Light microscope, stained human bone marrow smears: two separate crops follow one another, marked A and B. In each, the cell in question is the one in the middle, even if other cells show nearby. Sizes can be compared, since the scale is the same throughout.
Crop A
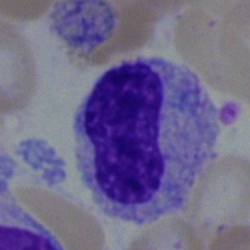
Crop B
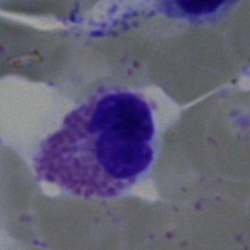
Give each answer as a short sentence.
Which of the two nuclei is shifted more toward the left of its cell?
The nucleus in crop A lies further toward the left of its cell.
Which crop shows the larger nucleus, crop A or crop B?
Crop A shows the larger nucleus; it covers about 2 times the area of the nucleus in crop B.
